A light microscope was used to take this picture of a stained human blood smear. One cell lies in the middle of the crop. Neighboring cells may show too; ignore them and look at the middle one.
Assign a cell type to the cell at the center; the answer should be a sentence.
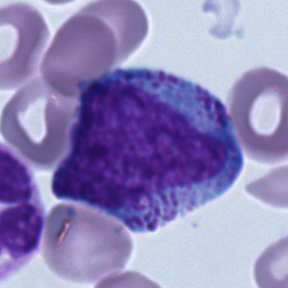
This particular crop is centered on a promyelocyte.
